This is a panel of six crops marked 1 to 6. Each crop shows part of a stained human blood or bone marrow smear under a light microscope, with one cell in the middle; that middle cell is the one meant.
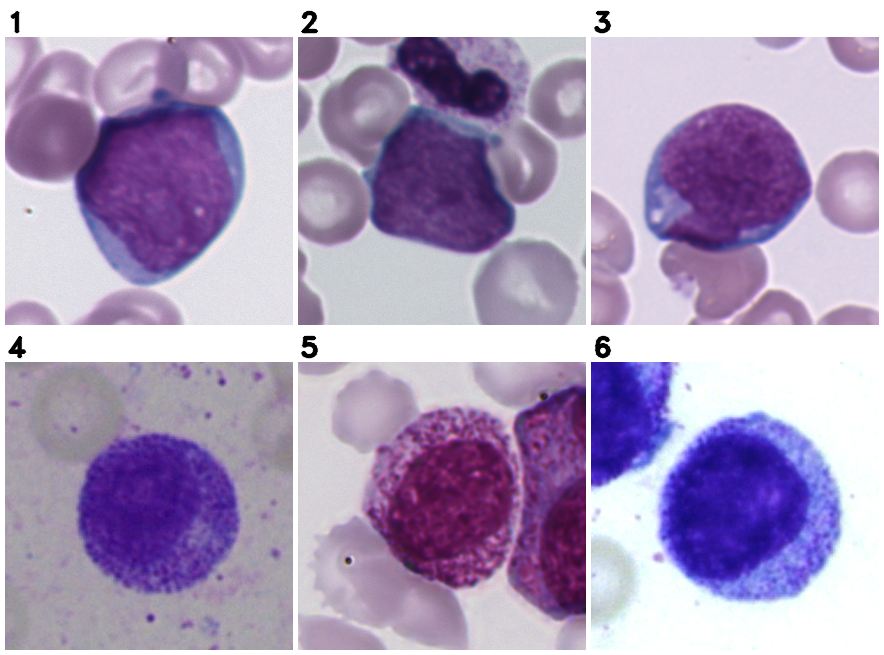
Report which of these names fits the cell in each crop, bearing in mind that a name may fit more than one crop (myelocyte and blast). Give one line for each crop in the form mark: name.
1: blast
2: blast
3: blast
4: myelocyte
5: myelocyte
6: myelocyte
